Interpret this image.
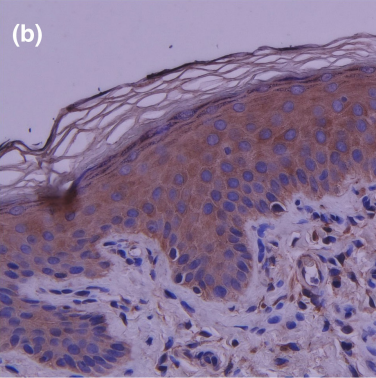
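Epidermis with its keratinocytes lies above loose dermis. The keratinocytes form several layers of polygonal cells with rounded blue nuclei and brown-stained cytoplasm; nuclei remain blue. The upper cells flatten beneath a loose, basket-weave cornified layer of anucleate, pale sheets. The lower border undulates into rete ridges, and the basal cells are small and closely set. Below, the dermis shows pale, loose connective tissue with scattered spindle-shaped and round cells and small vessels.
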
